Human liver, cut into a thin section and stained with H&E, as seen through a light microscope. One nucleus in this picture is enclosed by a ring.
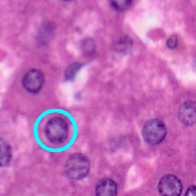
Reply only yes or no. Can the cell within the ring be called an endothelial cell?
no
